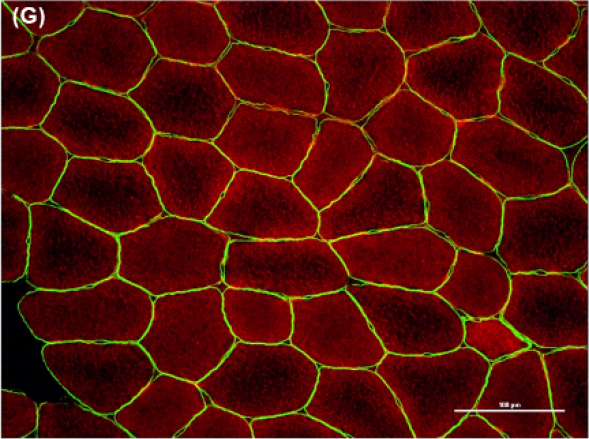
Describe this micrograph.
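This is a cross-section of closely packed polygonal muscle fibres, each outlined by a thin green border. The inside of every fibre is filled with a fine, granular red stain. The red is denser in some fibres and fainter in others.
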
